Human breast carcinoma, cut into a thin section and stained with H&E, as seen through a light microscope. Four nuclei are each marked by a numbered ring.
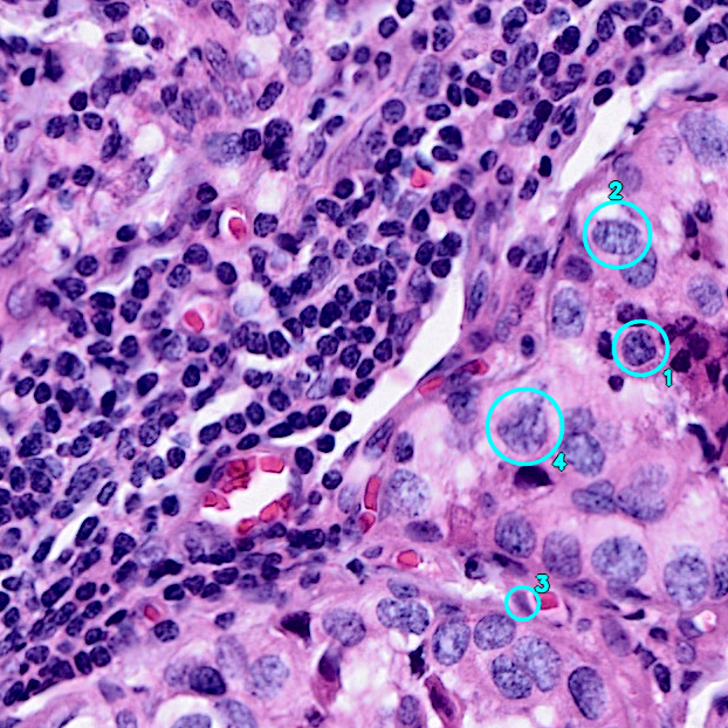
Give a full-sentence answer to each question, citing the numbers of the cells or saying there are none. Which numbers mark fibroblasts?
The group of numbered cells contains no fibroblasts.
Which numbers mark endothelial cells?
Among the numbered nuclei, only the one labelled 3 belongs to an endothelial cell.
